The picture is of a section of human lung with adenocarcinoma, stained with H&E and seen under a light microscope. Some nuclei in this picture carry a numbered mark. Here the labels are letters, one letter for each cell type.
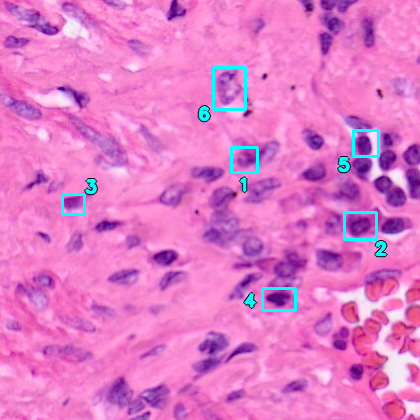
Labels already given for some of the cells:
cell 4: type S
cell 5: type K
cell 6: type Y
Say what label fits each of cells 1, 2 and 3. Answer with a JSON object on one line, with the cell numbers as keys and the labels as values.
{"1": "type S", "2": "type S", "3": "type S"}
